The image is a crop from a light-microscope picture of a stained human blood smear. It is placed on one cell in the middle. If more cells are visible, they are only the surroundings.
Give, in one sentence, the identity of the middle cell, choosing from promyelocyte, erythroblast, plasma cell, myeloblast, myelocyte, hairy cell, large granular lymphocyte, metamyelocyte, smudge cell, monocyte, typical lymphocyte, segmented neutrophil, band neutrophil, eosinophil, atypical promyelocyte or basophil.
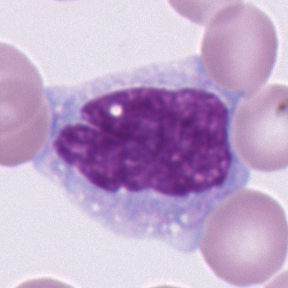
The target cell in the middle of the crop is a monocyte.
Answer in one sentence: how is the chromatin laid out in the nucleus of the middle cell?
Its chromatin is finely dispersed rather than coarsely clumped.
